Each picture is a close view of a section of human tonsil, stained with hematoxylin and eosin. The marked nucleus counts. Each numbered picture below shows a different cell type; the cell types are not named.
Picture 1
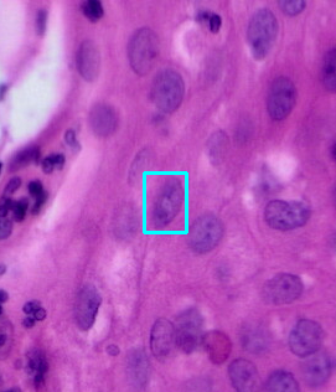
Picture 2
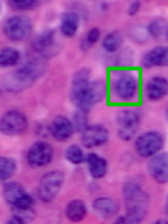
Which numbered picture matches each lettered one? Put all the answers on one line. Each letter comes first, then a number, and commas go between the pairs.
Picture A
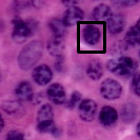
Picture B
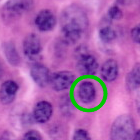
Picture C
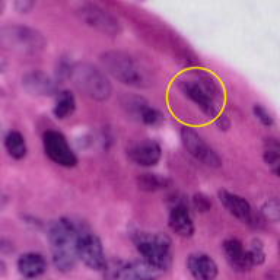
A 2, B 2, C 1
